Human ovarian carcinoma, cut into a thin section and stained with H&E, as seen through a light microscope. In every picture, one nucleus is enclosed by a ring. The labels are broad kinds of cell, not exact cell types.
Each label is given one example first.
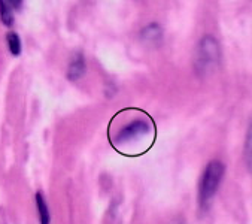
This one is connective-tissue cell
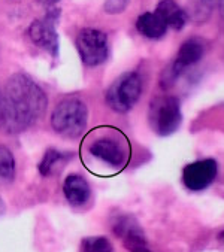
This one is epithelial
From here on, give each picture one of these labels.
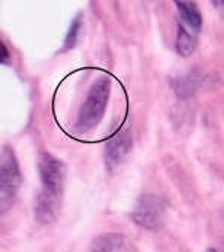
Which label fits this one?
connective-tissue cell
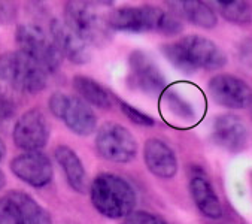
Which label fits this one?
epithelial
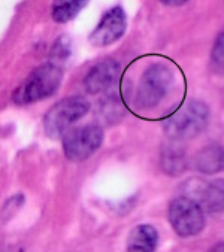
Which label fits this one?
epithelial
